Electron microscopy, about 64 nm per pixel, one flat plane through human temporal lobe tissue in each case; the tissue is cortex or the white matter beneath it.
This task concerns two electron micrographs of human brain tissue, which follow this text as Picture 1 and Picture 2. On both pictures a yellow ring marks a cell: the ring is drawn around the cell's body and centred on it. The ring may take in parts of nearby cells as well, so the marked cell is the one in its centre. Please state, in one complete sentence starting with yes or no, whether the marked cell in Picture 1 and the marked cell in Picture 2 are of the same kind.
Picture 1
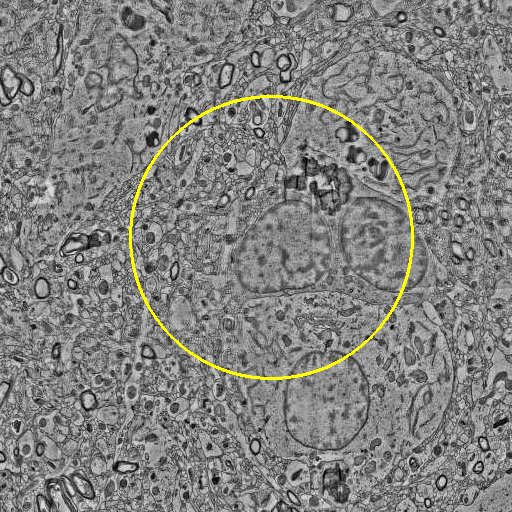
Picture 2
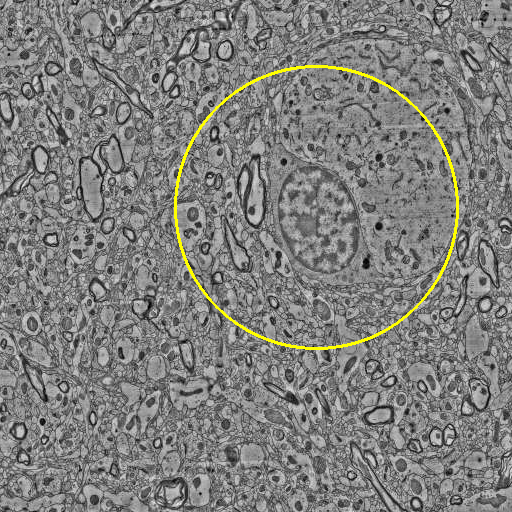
Yes, the marked cells in both pictures are of the same kind.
